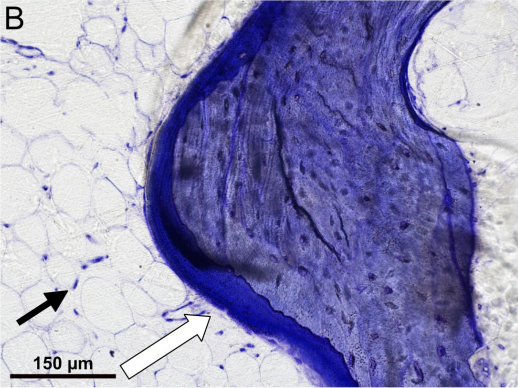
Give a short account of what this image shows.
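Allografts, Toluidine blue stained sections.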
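This is a piece of trabecular bone, stained deep blue, lying next to bone marrow made mostly of adipocytes. The bone shows fine layered lamellae and scattered small dark elongated spots within its matrix. Along its surface runs a narrower, darker blue band.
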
